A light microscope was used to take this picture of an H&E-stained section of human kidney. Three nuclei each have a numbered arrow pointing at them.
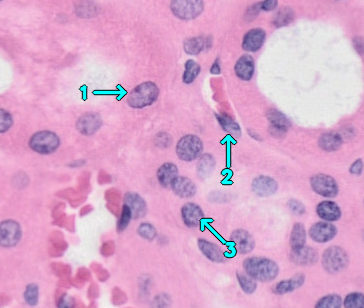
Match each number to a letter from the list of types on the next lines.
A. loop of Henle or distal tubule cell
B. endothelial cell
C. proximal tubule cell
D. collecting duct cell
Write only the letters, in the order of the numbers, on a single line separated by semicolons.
C; B; D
